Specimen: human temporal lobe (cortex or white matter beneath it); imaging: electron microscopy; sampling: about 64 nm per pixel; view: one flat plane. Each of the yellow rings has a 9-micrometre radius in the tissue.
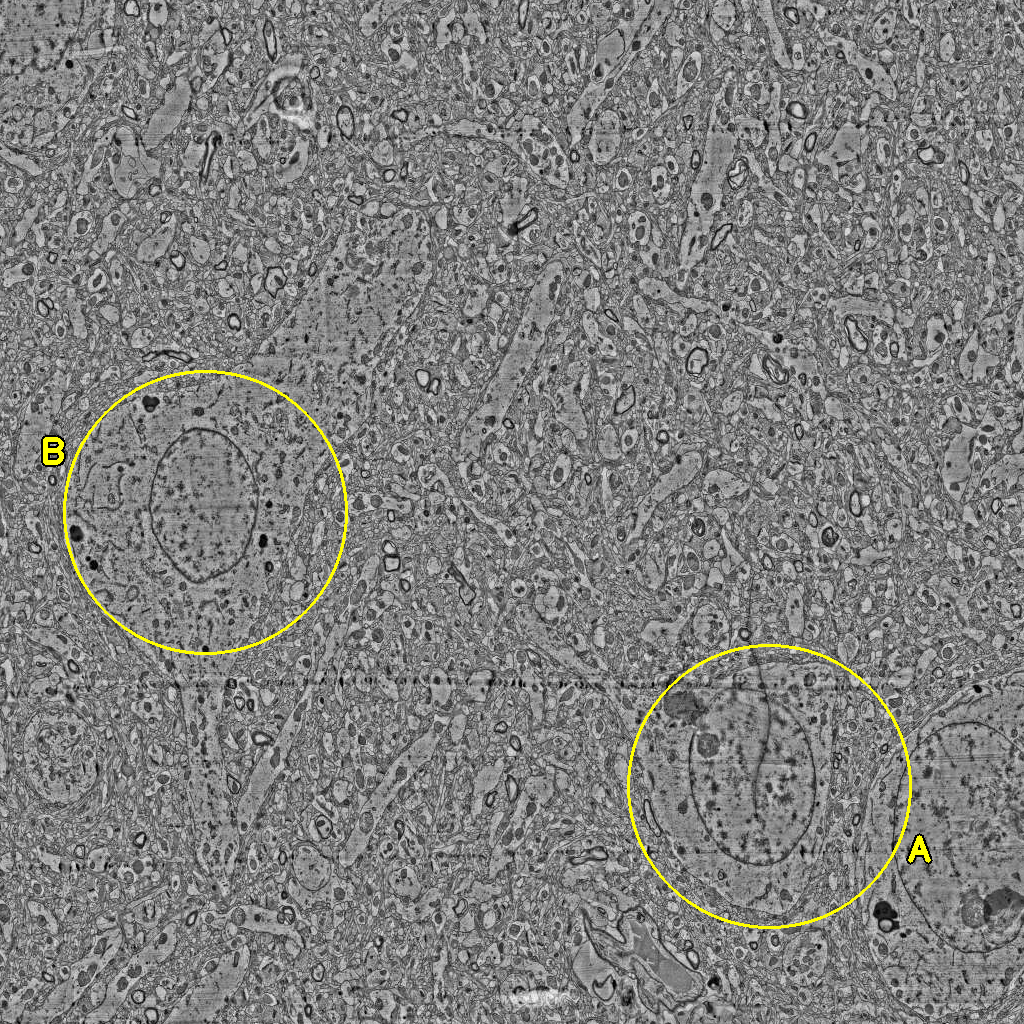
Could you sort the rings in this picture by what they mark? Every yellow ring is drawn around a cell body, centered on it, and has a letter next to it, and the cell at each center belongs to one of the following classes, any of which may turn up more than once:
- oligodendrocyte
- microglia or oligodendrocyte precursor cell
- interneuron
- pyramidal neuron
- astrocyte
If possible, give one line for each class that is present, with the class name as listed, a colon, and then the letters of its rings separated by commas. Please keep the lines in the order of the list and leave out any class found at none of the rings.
pyramidal neuron: A, B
